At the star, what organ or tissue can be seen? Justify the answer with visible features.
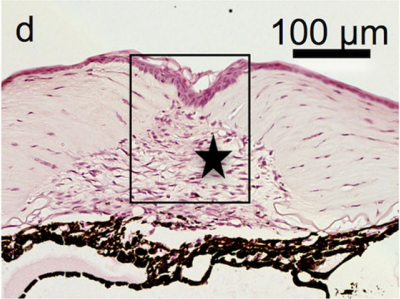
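The star lies in a region of disorganized stroma with many nuclei. That region widens toward the deep stroma. The epithelium above it dips down into a notch.
Scar tissue.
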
